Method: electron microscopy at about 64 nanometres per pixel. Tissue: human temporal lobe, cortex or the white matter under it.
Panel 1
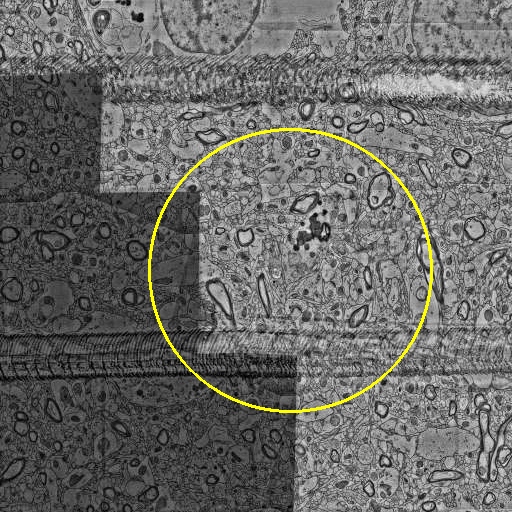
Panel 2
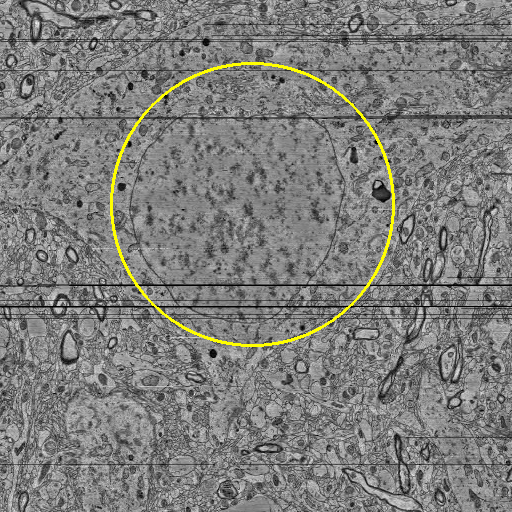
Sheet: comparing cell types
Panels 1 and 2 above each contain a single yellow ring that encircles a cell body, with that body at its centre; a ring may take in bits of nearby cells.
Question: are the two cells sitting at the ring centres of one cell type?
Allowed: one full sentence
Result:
No, the ring-centre cells in Panel 1 and Panel 2 are of two types.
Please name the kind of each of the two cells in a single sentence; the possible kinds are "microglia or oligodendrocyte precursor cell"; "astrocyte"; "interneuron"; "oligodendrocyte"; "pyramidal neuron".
In the first picture the ring is centred on an oligodendrocyte, and in the second on a pyramidal neuron.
